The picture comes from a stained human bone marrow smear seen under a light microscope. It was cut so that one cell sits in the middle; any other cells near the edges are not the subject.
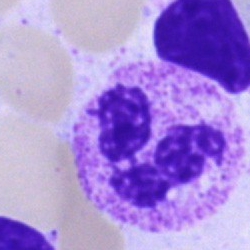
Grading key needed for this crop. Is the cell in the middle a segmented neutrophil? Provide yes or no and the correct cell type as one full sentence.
Yes, in the centre of this field sits a segmented neutrophil.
